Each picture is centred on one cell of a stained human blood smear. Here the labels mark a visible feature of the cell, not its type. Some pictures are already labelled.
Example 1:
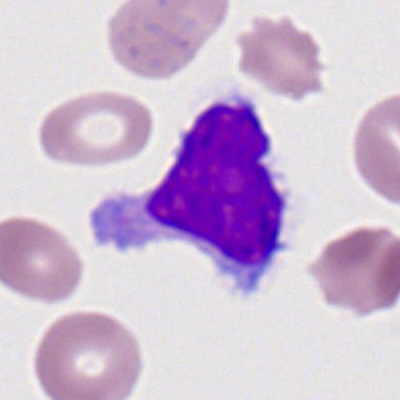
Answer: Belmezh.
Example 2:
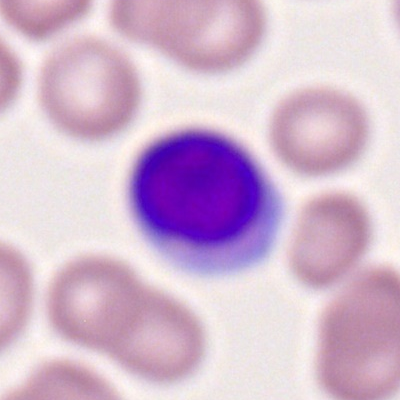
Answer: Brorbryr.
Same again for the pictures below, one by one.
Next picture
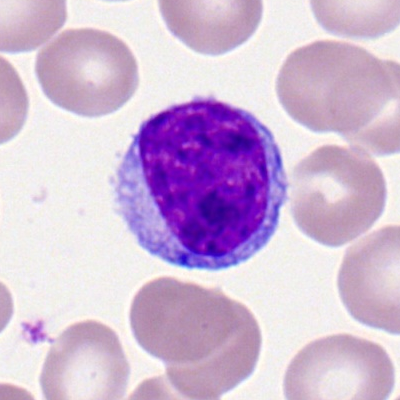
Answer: Belmezh.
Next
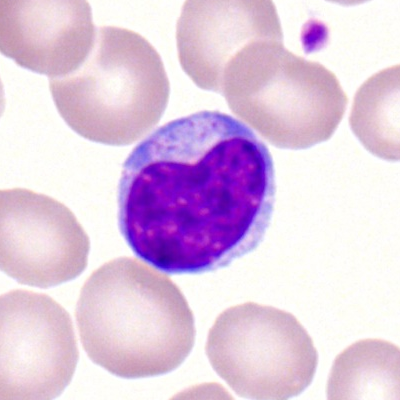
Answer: Brorbryr.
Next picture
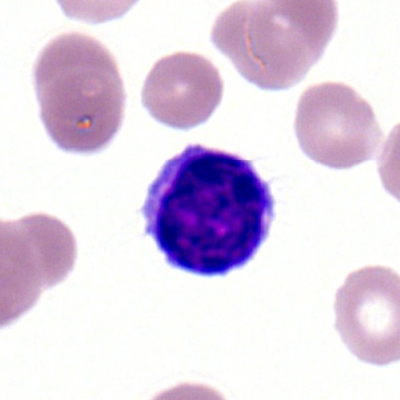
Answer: Belmezh.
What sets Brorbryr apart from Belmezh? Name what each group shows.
Seen in Brorbryr: smooth outline; seen in Belmezh: ragged outline or projections.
